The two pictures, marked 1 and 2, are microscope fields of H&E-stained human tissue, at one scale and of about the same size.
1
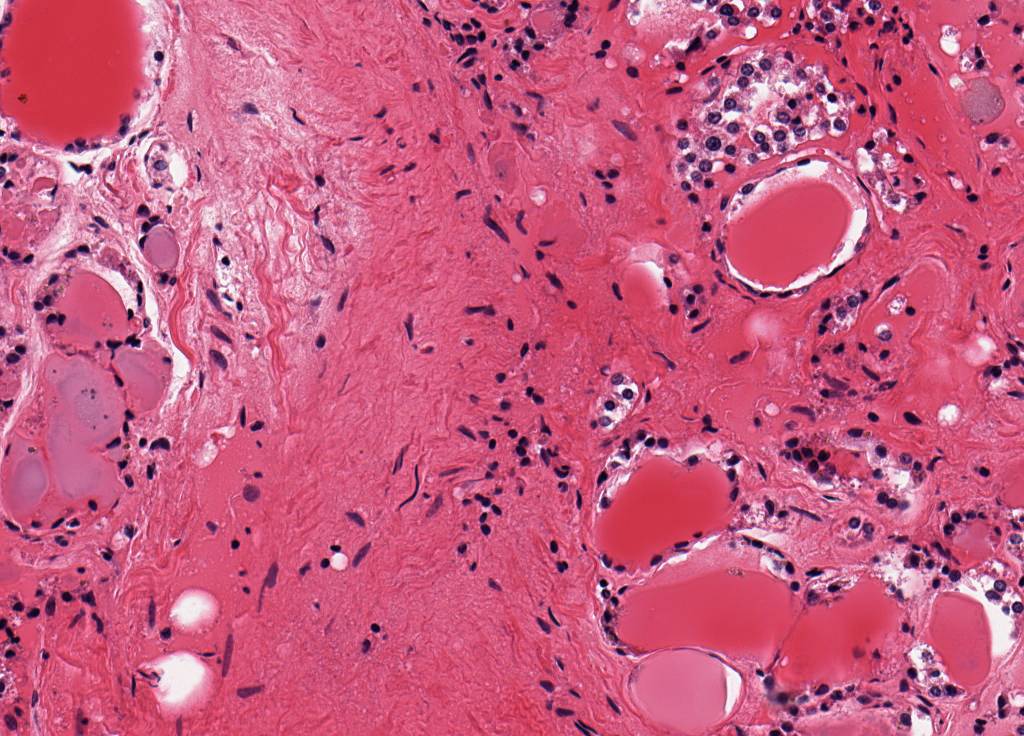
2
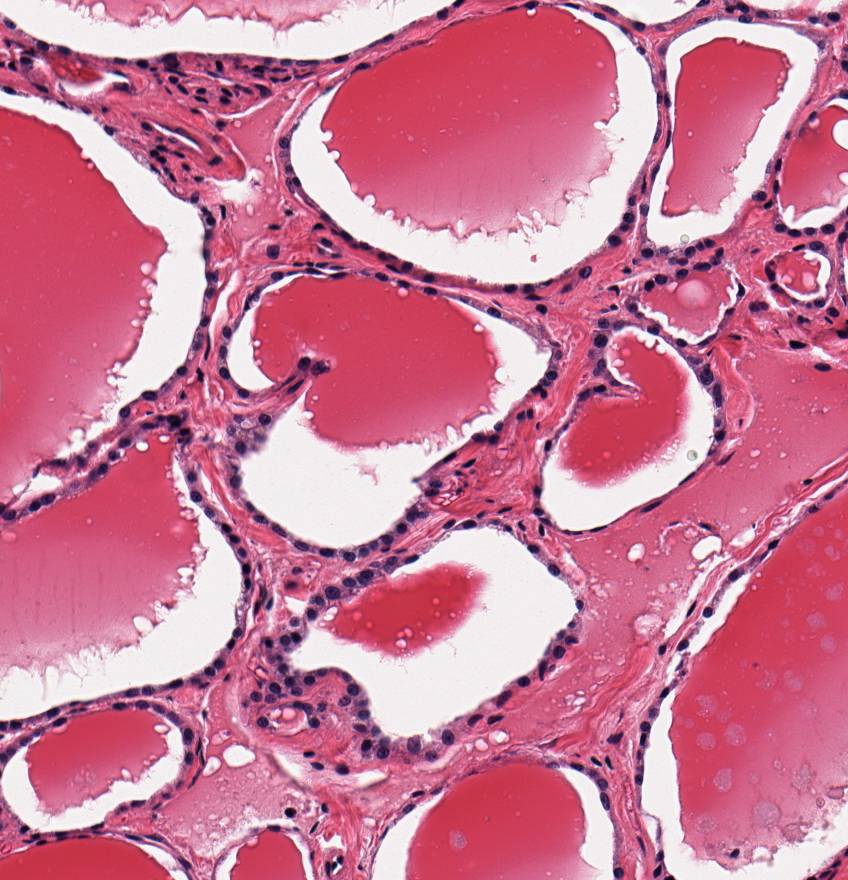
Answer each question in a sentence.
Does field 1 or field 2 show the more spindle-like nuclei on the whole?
It is field 2 whose nuclei are the more elongated.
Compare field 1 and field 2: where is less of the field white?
It is field 1 that stained tissue fills more completely.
